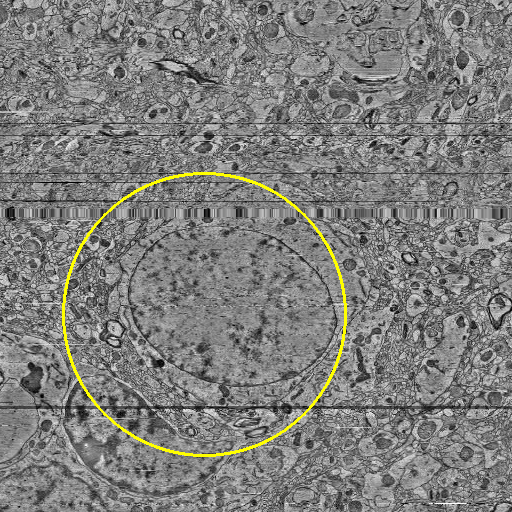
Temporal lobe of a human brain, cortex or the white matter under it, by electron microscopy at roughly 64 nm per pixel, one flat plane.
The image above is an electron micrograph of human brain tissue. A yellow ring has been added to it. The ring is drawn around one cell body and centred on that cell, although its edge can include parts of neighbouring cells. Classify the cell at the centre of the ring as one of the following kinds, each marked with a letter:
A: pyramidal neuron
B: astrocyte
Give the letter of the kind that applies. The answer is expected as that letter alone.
A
